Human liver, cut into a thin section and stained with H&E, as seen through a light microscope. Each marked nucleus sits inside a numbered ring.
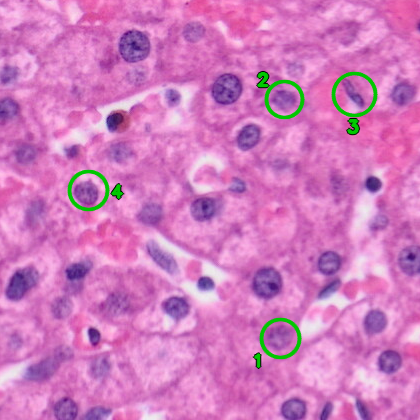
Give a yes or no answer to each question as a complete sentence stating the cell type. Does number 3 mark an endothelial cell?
Yes, with respect to number 3, the cell is an endothelial cell.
